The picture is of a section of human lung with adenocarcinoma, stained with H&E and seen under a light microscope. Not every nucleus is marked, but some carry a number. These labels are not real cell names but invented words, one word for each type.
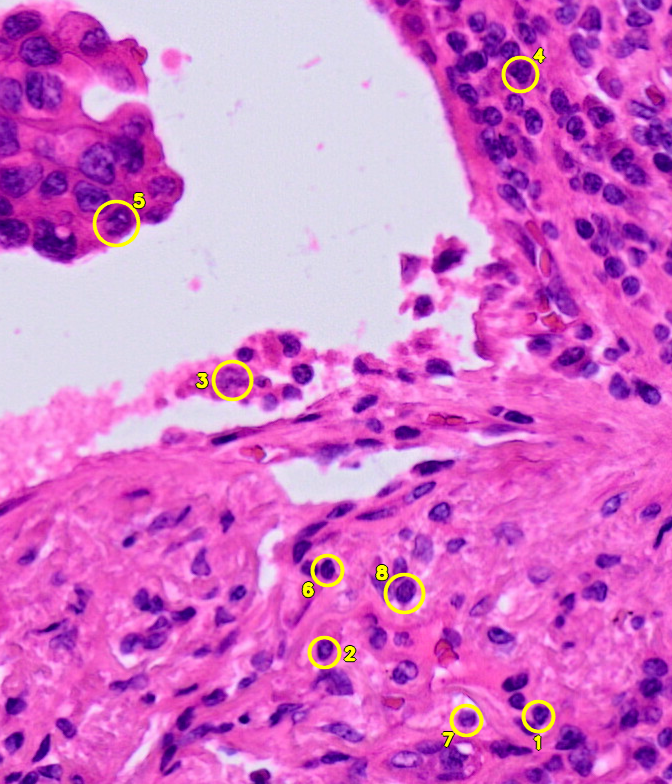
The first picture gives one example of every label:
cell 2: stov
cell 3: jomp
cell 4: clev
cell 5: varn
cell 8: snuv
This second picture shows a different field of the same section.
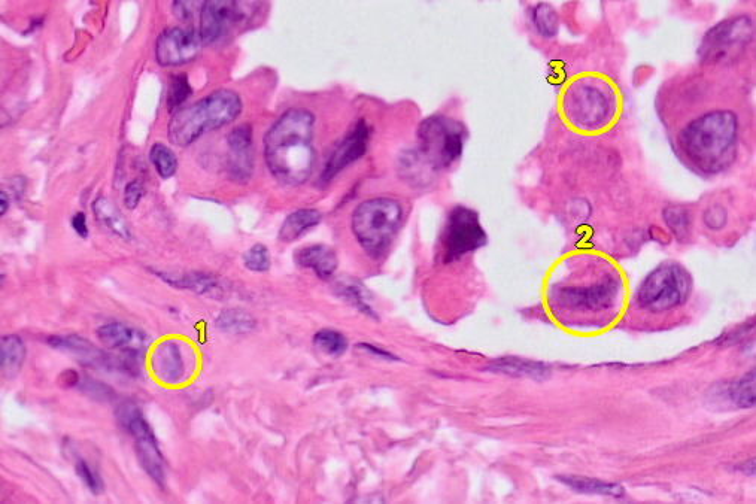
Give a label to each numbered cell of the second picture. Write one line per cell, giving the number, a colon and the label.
1: stov
2: varn
3: jomp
